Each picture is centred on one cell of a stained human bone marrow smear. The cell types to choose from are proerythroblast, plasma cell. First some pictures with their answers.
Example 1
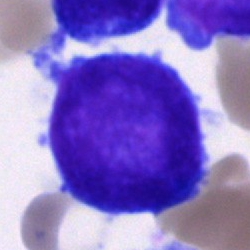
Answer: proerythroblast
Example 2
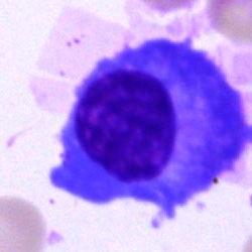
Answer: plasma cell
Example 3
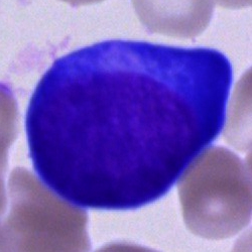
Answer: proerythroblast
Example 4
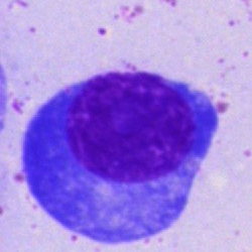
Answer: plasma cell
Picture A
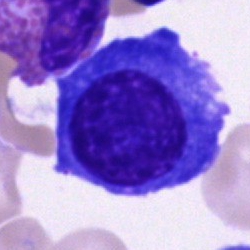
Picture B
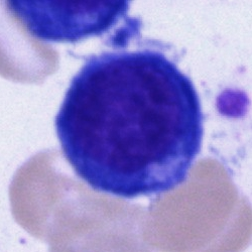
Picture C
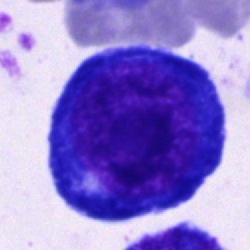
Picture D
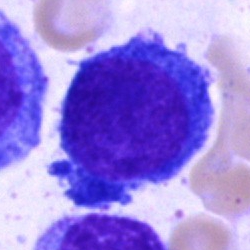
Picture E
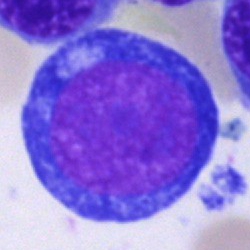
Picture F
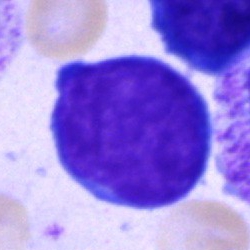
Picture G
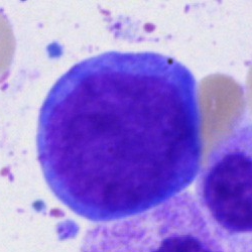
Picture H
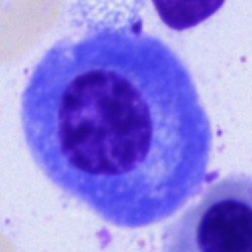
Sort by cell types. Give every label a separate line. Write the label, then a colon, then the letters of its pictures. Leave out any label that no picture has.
proerythroblast: B, C, D, E, F, G
plasma cell: A, H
